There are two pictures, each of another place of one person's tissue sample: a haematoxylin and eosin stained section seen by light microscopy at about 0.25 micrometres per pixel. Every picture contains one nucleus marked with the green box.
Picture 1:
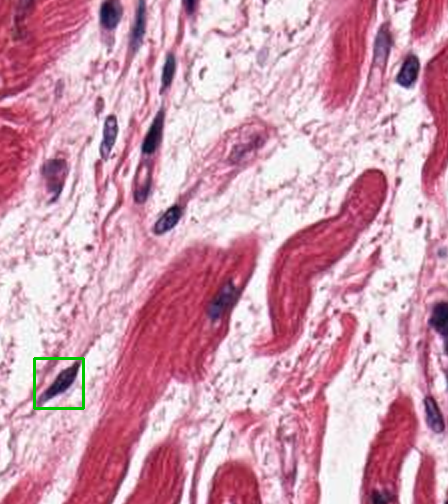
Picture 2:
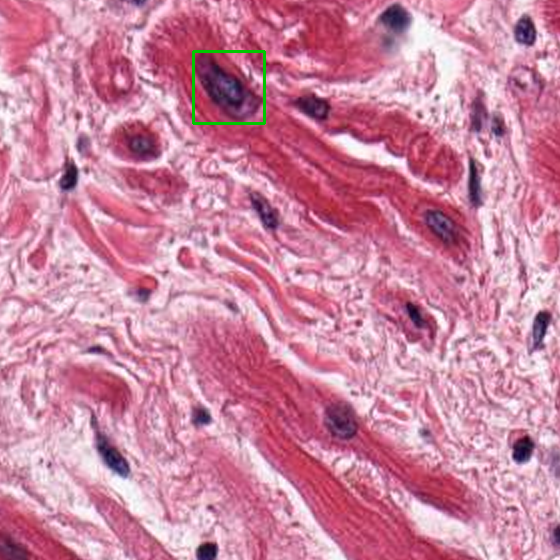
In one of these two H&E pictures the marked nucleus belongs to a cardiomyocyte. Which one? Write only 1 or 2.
2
